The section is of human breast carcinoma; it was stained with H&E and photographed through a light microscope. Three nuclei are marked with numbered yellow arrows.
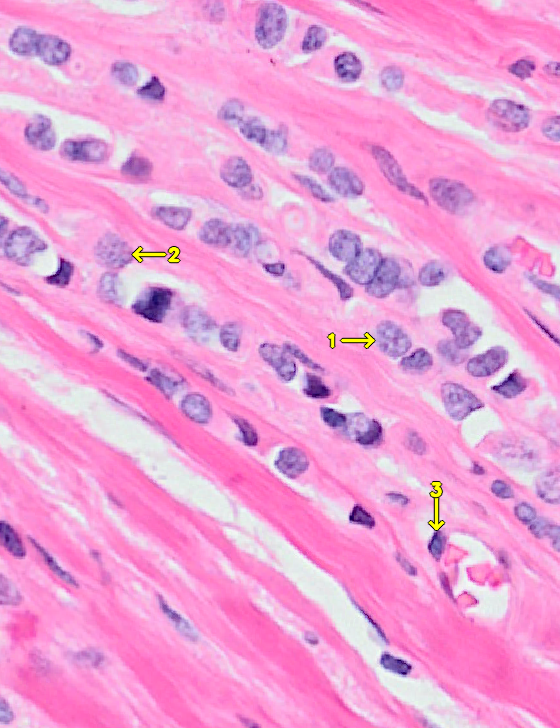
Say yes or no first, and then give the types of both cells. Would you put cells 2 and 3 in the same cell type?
No, cell 2 is a carcinoma cell and cell 3 is an endothelial cell.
